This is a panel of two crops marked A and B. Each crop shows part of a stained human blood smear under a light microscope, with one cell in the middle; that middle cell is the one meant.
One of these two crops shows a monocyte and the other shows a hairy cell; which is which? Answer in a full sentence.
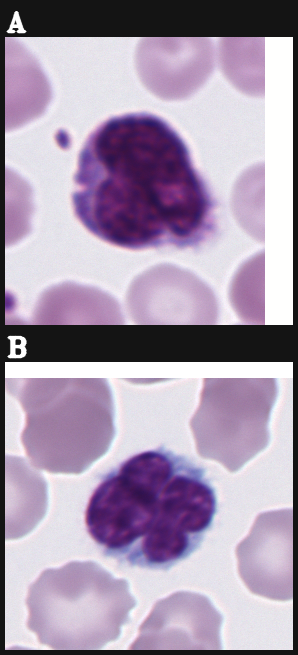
Okay, so crop A is a monocyte and crop B is a hairy cell.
